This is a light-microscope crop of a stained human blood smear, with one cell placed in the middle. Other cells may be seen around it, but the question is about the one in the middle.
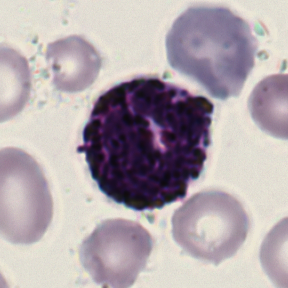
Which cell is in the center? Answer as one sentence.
The cell at the middle of the frame should be recorded as a basophil.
